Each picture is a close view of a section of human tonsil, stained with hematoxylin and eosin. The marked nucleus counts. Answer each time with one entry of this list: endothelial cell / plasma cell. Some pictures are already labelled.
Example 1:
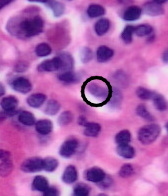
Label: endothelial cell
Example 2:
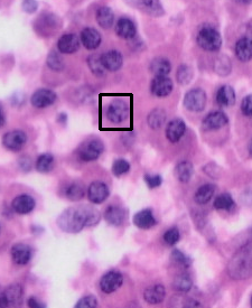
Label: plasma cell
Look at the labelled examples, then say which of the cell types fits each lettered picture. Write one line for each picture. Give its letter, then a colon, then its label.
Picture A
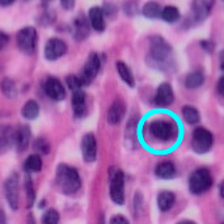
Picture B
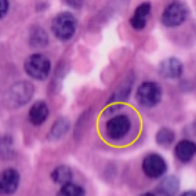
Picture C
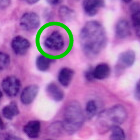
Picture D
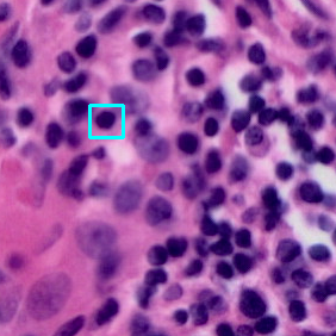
A: plasma cell
B: plasma cell
C: plasma cell
D: endothelial cell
